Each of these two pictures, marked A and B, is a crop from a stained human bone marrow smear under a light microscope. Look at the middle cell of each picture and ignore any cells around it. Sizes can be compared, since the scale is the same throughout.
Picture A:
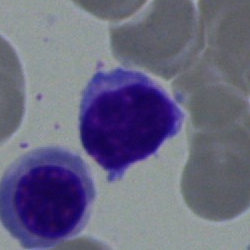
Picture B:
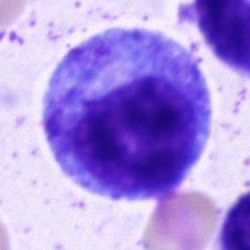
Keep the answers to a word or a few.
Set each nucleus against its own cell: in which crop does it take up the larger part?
A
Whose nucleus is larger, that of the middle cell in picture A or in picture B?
B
